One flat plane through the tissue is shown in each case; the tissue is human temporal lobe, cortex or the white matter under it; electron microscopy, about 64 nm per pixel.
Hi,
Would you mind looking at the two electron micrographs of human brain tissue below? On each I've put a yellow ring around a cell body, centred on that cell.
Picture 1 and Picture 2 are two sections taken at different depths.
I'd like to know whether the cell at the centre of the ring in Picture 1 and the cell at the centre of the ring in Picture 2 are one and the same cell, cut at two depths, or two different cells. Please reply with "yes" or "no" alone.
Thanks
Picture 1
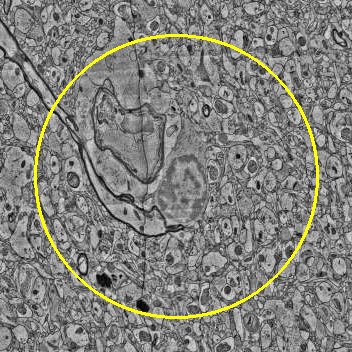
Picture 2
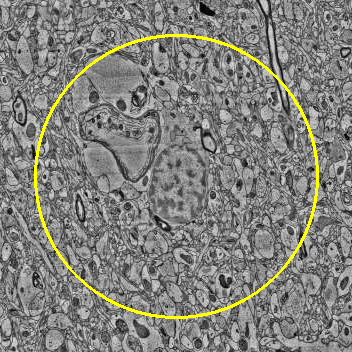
yes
